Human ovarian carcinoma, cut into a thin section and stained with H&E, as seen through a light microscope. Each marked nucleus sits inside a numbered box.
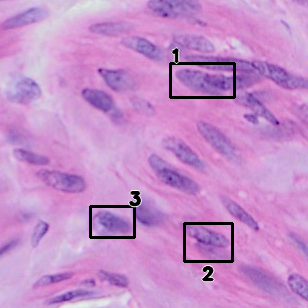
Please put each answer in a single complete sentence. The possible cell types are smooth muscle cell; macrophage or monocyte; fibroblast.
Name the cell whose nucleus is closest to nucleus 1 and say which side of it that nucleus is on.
A smooth muscle cell lies closest, above and to the right of nucleus 1.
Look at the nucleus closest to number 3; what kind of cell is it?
Number 3 lies closest to the nucleus of a fibroblast.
